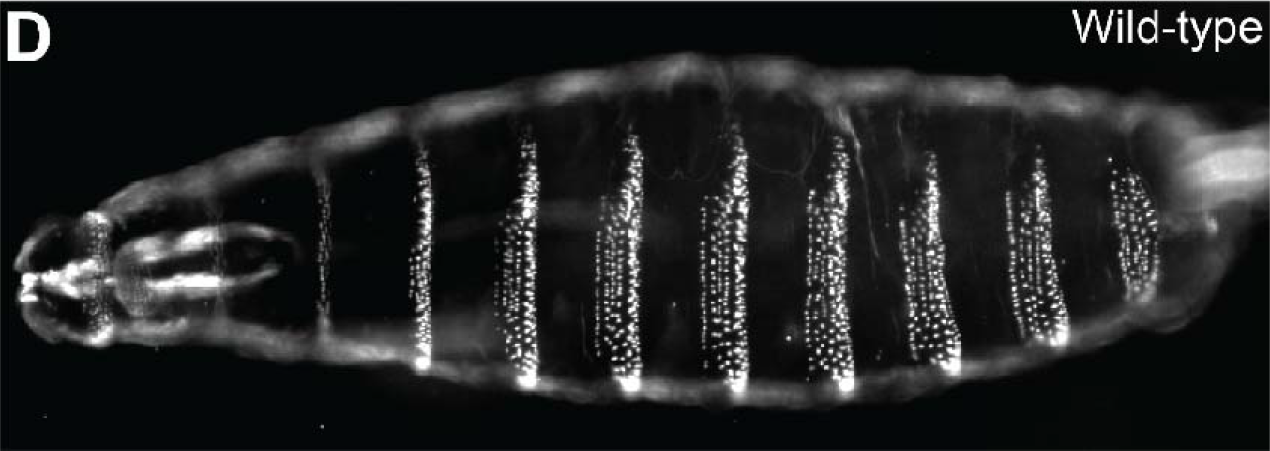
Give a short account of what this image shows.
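A whole larval cuticle is seen from the ventral side, bright against a dark background, head end with its skeletal mouthparts at the left and tail at the right. Along the body run evenly spaced transverse bands, one per segment, each made of many small bright hair-like points, the ventral trichomes, arranged in several rows. The bands are narrow near the front and broaden toward the middle and rear segments, and the smooth cuticle between bands carries no such points. The outline of the body wall appears as a pale rim, and faint tracheal tubes cross the interior.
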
